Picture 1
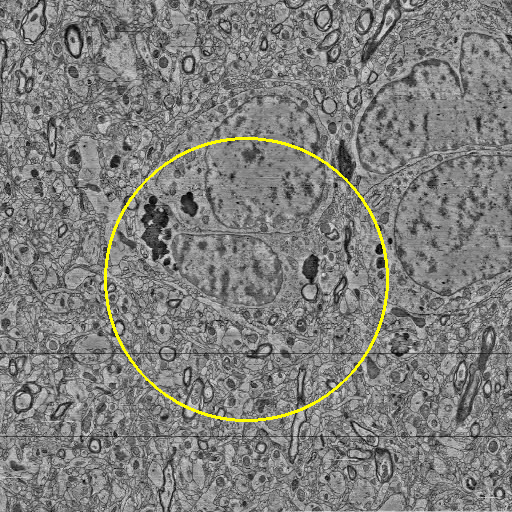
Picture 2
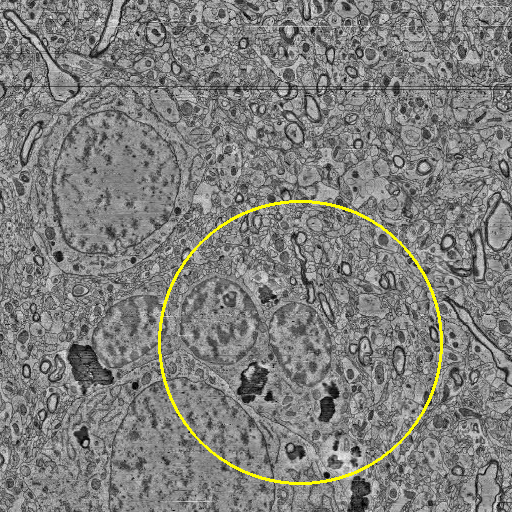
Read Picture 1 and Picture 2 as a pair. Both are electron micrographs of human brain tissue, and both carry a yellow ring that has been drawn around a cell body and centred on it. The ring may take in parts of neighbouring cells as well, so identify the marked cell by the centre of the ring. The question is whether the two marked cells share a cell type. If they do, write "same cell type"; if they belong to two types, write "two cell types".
same cell type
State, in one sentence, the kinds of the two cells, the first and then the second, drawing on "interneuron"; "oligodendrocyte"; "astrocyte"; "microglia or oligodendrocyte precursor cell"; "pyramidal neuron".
Both the first and the second picture show an oligodendrocyte in the ring.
